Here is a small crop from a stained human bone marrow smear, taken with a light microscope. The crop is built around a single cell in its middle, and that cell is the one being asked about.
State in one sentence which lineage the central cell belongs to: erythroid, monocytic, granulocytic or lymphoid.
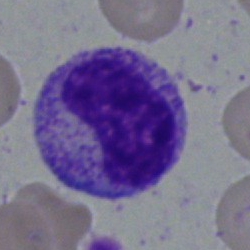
The lineage represented by the cell in the middle is granulocytic.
